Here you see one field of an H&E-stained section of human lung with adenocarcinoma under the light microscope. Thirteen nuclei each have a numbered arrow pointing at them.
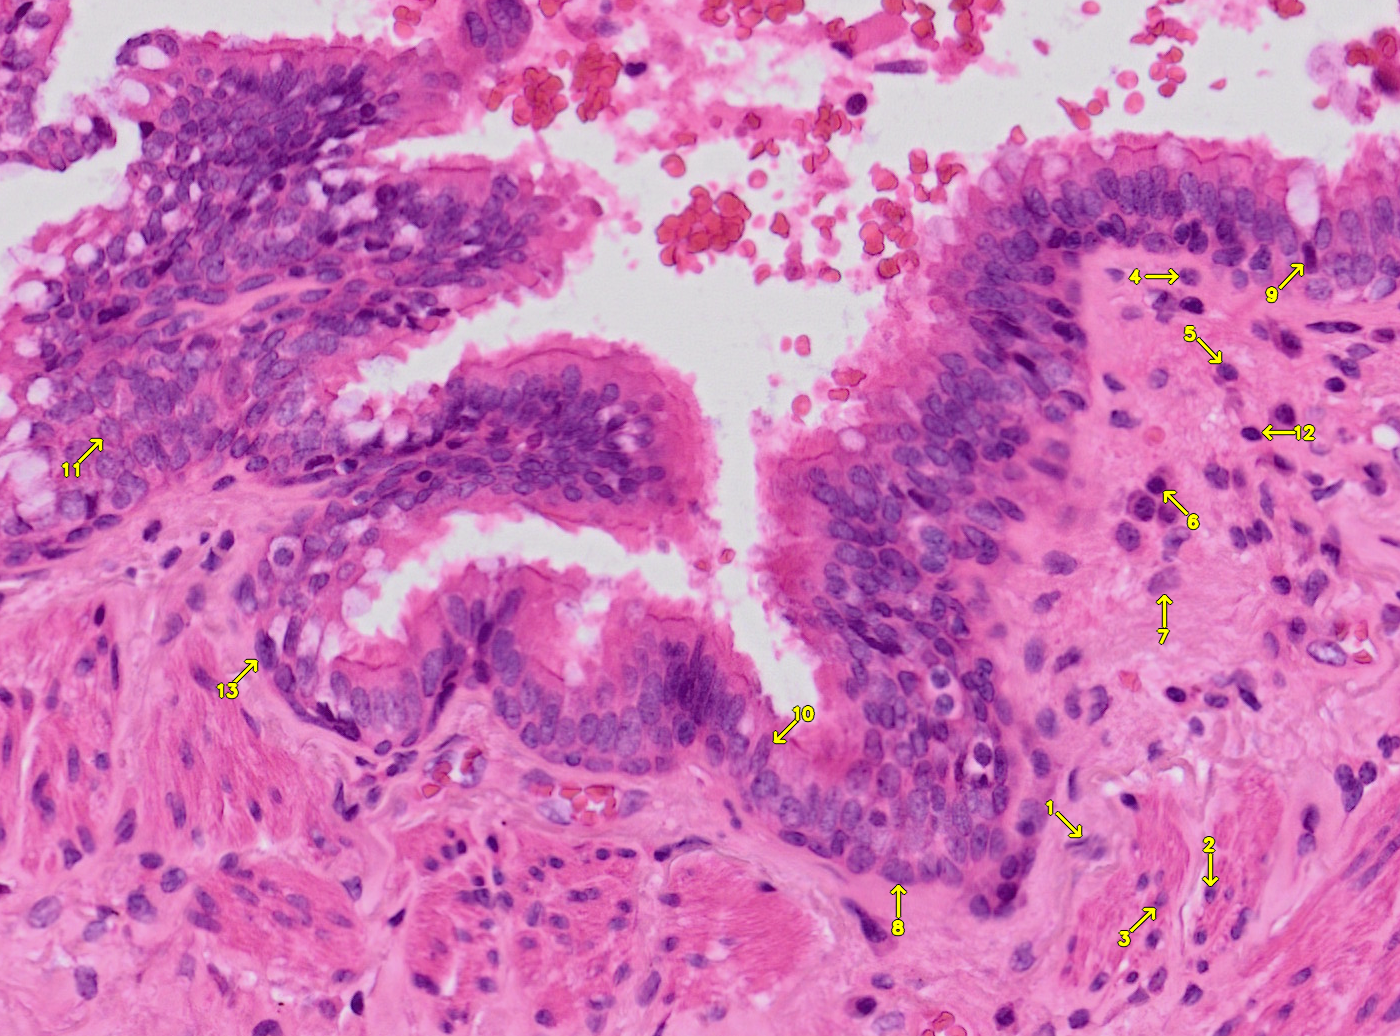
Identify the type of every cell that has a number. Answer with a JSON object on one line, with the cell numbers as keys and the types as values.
{"1": "fibroblast", "2": "smooth muscle cell or pericyte", "3": "smooth muscle cell or pericyte", "4": "lymphocyte", "5": "mast cell", "6": "plasma cell", "7": "fibroblast", "8": "ciliated epithelial cell", "9": "ciliated epithelial cell", "10": "ciliated epithelial cell", "11": "ciliated epithelial cell", "12": "mast cell", "13": "ciliated epithelial cell"}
